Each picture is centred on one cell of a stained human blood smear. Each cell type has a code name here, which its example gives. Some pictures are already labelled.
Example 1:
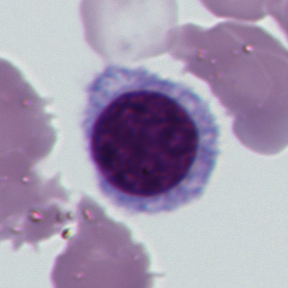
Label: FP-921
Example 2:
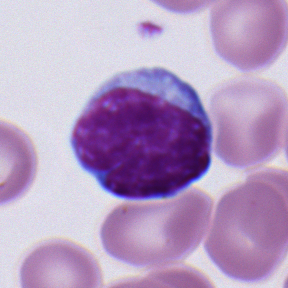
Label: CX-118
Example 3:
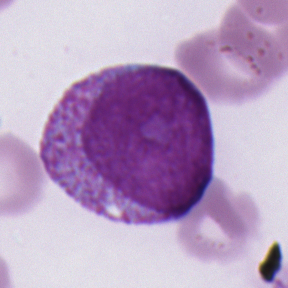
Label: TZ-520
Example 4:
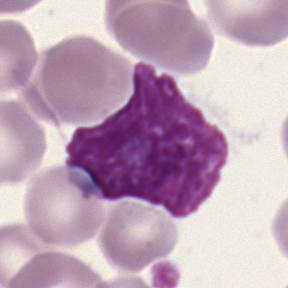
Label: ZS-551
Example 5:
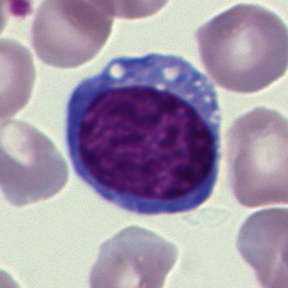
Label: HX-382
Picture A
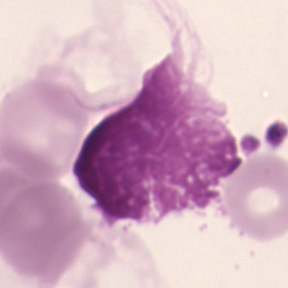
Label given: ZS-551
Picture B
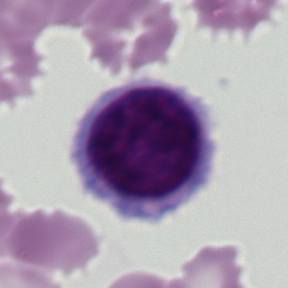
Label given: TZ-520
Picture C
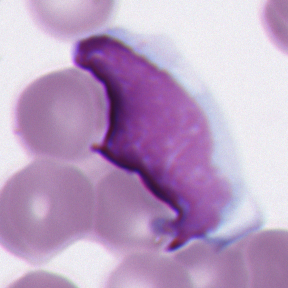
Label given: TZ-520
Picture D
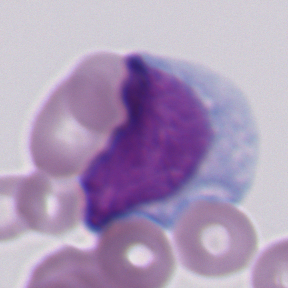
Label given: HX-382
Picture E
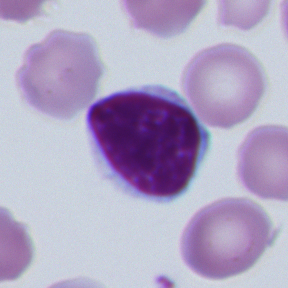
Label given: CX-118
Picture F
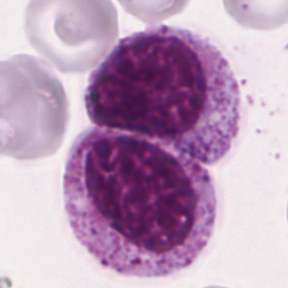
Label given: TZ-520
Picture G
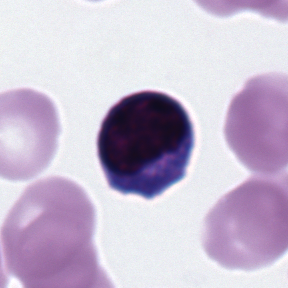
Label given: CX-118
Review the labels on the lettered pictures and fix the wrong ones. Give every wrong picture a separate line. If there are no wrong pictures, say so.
B should be FP-921, not TZ-520
C should be CX-118, not TZ-520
